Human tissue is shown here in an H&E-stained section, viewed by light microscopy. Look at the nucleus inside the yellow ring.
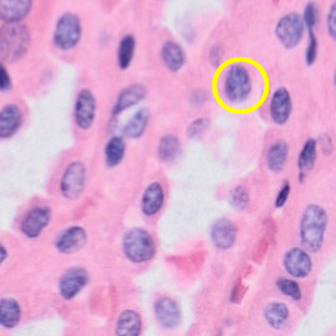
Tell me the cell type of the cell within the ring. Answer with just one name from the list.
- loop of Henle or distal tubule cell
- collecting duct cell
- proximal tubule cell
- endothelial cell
loop of Henle or distal tubule cell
